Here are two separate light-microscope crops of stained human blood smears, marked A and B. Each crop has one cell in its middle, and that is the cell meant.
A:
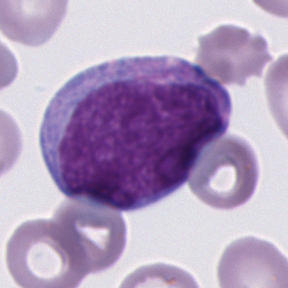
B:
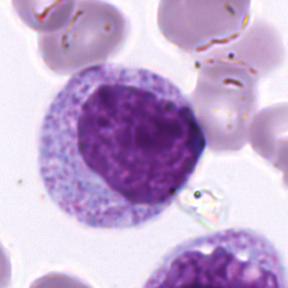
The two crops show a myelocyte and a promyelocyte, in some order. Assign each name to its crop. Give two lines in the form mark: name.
A: promyelocyte
B: myelocyte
